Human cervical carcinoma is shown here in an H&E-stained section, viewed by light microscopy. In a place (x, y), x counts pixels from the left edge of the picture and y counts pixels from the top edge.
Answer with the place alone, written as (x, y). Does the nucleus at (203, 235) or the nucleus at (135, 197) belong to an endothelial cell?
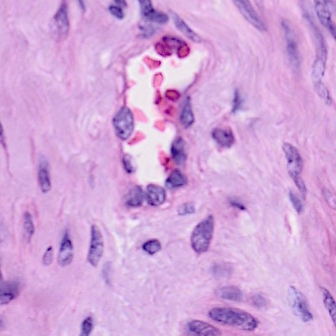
(135, 197)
